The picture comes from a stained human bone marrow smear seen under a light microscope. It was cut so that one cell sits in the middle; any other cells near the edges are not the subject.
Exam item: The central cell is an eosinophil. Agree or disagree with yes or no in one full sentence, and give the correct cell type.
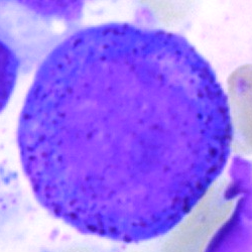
No, the centre cell counts as a promyelocyte, not as an eosinophil.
